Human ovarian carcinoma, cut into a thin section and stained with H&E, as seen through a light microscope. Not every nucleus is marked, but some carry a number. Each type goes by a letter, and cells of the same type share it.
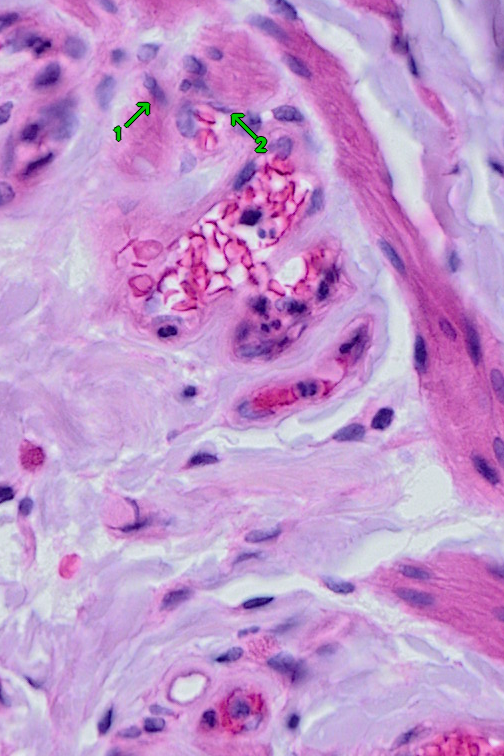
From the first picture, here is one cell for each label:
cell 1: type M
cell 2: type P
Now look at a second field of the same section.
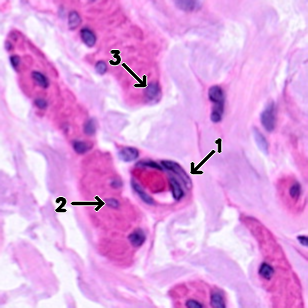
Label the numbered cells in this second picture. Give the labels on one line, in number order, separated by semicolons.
type P; type M; type M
